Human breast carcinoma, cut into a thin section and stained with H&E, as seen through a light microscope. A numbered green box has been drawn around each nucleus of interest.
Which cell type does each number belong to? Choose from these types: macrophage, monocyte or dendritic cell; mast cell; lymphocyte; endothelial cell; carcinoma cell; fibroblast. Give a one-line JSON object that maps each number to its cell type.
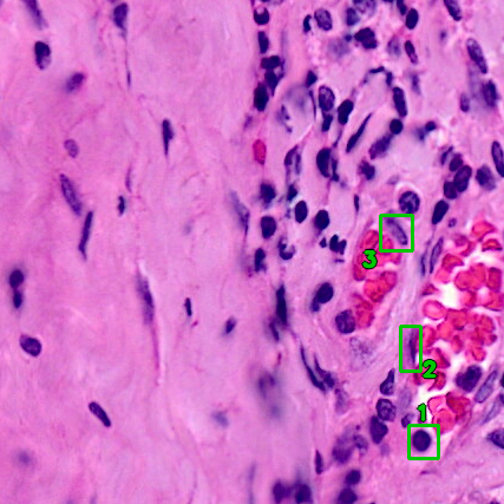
{"1": "lymphocyte", "2": "endothelial cell", "3": "endothelial cell"}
